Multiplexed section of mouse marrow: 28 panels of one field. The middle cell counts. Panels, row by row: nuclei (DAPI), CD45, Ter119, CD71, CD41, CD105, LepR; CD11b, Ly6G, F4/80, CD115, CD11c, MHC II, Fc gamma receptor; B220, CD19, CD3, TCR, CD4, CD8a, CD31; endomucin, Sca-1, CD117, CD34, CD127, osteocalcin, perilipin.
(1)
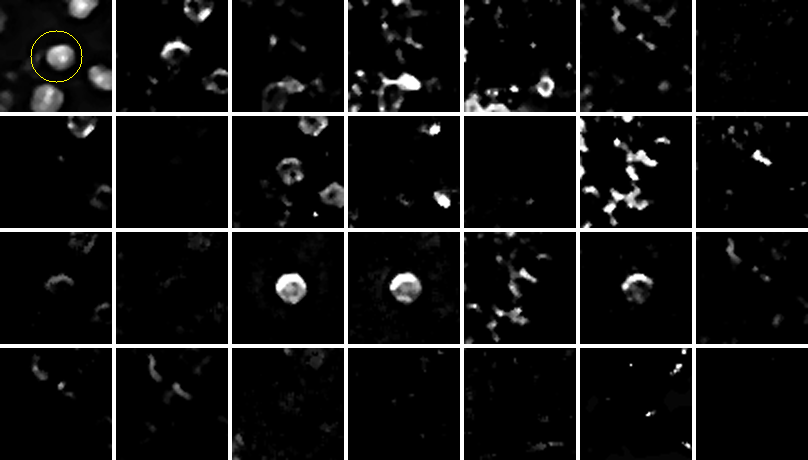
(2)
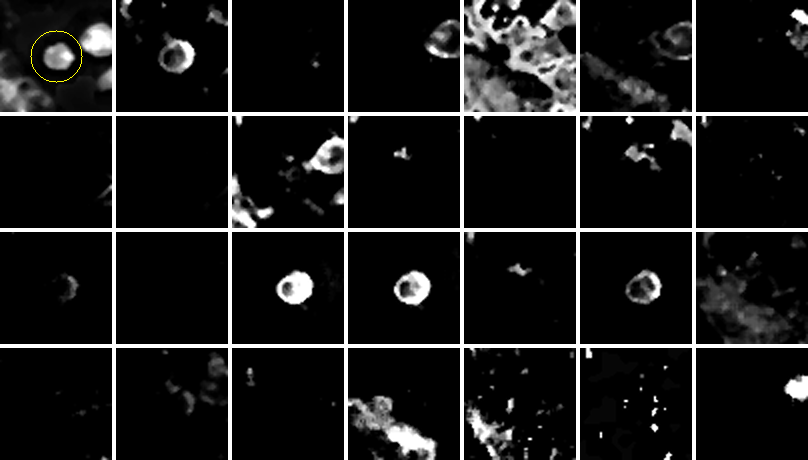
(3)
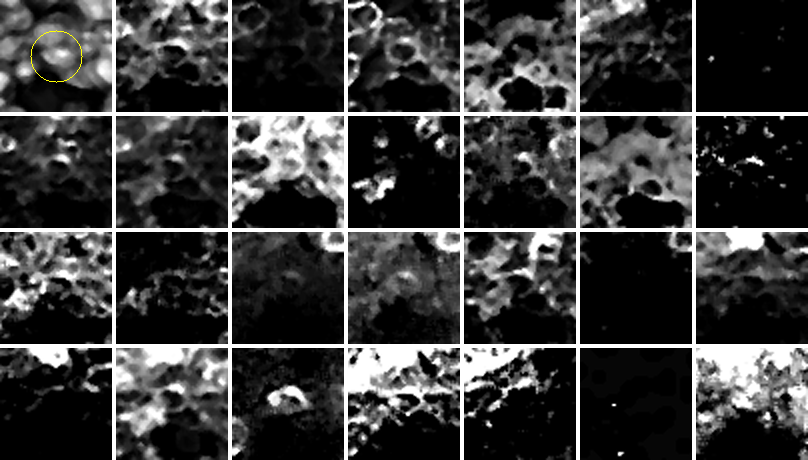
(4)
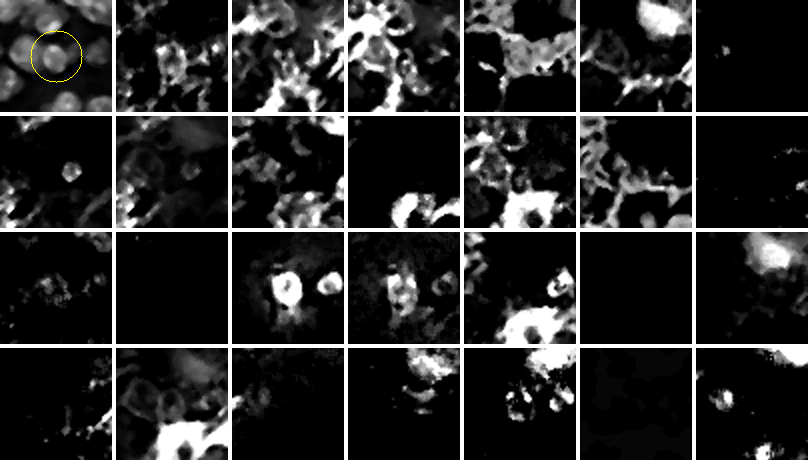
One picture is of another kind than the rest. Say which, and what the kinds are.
Picture 3 shows an erythroid progenitor (CFU-E); the rest show double-negative T cells.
